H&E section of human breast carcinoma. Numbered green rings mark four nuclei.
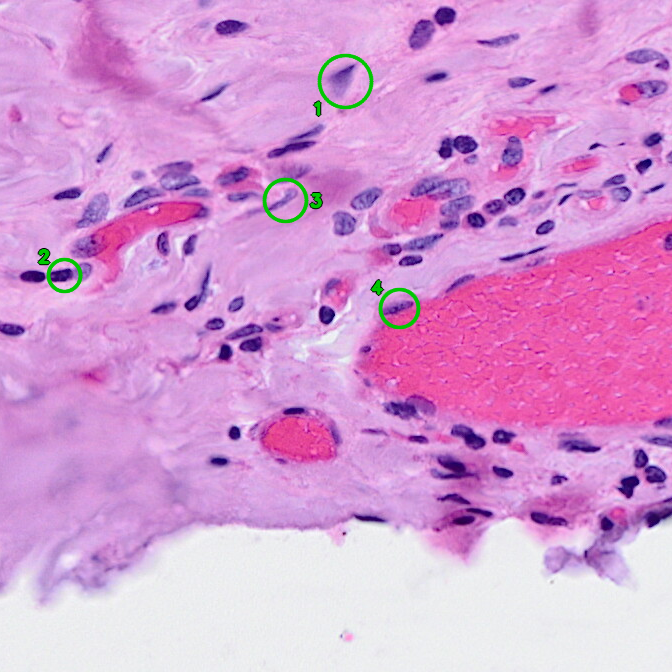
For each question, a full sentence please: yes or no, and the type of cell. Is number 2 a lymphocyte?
Yes, number 2 corresponds to a lymphocyte.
